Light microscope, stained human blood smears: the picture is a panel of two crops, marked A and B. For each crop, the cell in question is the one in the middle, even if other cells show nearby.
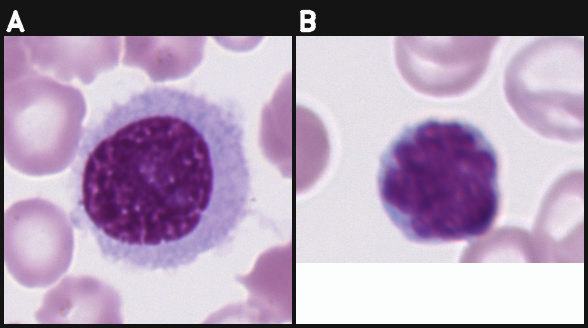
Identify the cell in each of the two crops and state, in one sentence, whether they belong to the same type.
No, it is in crop A that a hairy cell is shown, and in crop B that a typical lymphocyte is shown.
